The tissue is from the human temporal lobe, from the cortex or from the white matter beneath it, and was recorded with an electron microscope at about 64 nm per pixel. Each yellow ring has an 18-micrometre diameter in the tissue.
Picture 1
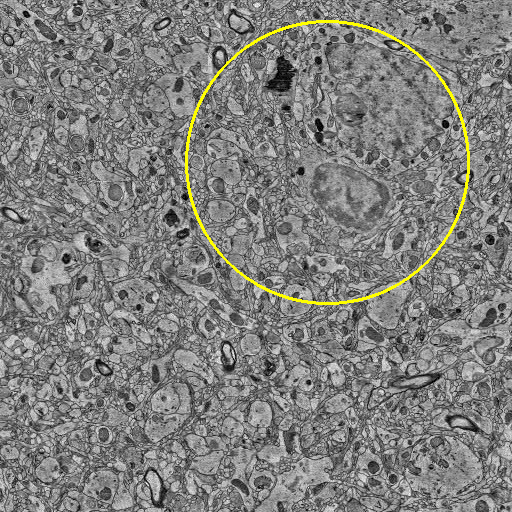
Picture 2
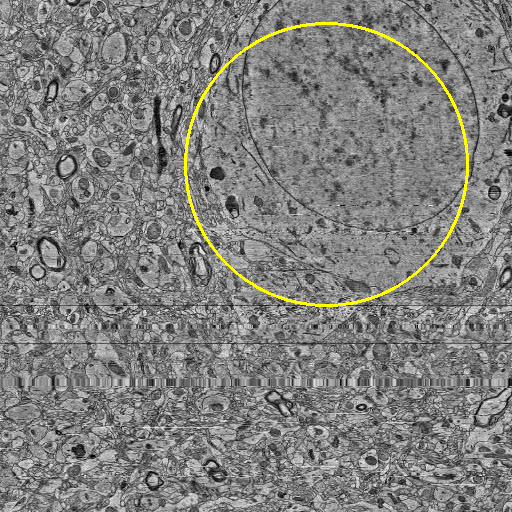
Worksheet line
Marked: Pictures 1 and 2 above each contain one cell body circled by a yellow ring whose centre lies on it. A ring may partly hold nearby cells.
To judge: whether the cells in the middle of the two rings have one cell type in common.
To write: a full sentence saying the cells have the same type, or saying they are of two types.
The cells in the middle of the rings in Picture 1 and Picture 2 are of two types.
